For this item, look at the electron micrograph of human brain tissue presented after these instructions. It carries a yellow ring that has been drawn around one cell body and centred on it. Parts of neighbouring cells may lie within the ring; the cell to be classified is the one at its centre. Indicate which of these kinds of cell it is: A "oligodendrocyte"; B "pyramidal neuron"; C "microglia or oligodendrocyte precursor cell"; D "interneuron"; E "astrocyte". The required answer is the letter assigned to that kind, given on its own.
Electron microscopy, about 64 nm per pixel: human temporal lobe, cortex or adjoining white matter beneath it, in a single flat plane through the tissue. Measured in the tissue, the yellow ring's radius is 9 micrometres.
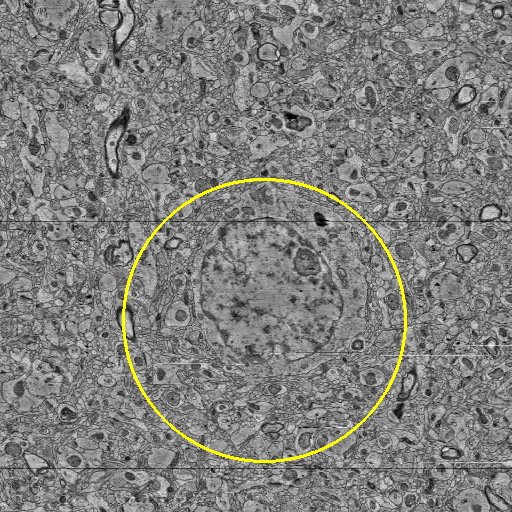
D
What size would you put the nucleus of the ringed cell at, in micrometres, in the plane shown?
In this plane, roughly 10 by 8 micrometres.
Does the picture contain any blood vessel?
No, no vessel appears in the picture.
